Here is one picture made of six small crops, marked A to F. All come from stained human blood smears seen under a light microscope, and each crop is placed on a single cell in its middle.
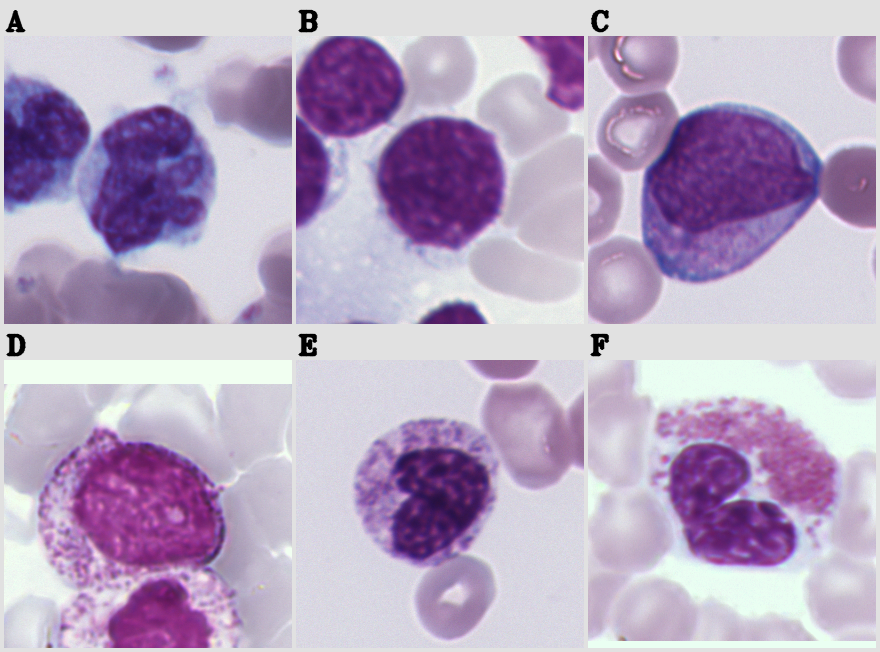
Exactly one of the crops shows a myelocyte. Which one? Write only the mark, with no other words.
D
